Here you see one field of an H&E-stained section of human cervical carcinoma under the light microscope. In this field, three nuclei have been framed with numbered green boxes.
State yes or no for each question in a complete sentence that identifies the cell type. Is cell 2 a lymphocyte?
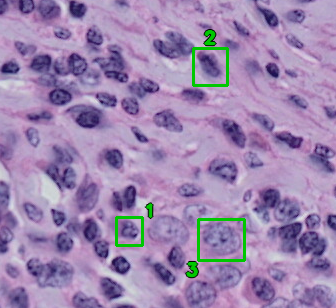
Yes, kindly take note: the cell numbered 2 is a lymphocyte.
